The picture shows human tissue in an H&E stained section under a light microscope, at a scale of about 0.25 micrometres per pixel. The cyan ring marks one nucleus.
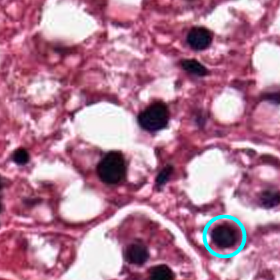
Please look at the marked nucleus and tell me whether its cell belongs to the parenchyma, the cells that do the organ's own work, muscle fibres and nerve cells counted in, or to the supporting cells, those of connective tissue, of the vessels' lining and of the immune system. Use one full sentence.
The marked nucleus lies within a parenchymal cell, which is an adrenal cortical cell.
